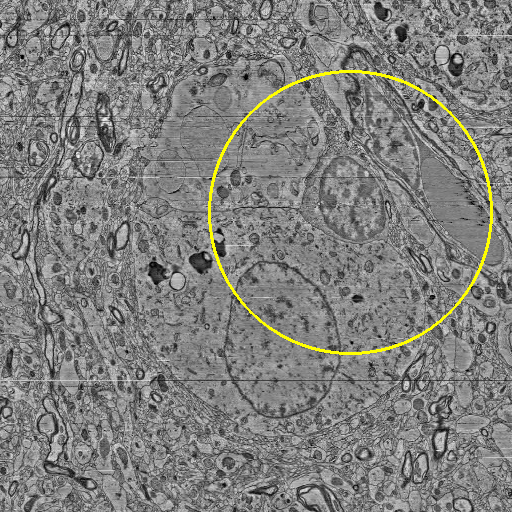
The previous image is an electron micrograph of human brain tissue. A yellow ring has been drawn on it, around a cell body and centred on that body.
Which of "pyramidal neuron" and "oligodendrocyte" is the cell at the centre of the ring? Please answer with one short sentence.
The cell body at the centre of the ring belongs to an oligodendrocyte.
